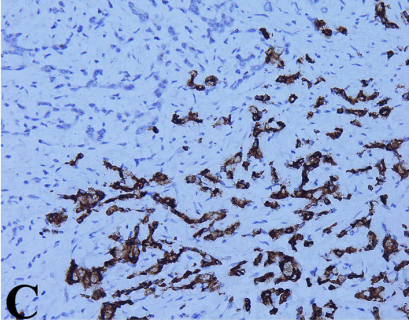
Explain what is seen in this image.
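Tumor cells infiltrate a pale fibrous stroma in small clusters, cords and single cells. Their cytoplasm is stained dark brown, outlining irregular, branching groups. Round blue nuclei are seen within some of the brown cells. The stroma between them holds scattered elongated blue nuclei of spindle-shaped cells and is unstained.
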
